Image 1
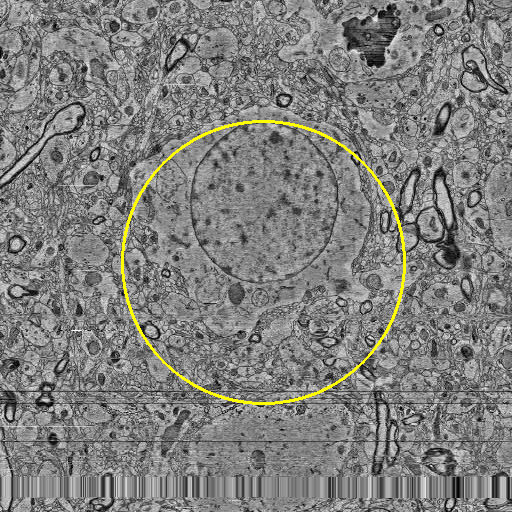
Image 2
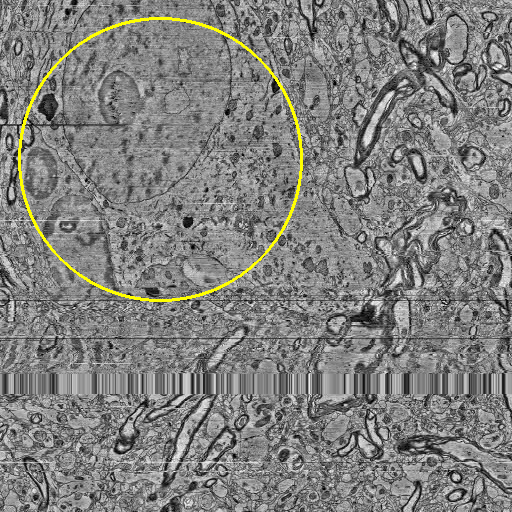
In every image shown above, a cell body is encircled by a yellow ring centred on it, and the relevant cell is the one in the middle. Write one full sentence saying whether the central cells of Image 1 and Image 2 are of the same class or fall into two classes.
The cell at the ring's centre in Image 1 and its counterpart in Image 2 fall into two classes.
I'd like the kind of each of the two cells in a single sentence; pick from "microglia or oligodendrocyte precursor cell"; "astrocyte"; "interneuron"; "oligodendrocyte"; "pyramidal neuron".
The first ring marks an astrocyte, and the second ring marks a pyramidal neuron.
